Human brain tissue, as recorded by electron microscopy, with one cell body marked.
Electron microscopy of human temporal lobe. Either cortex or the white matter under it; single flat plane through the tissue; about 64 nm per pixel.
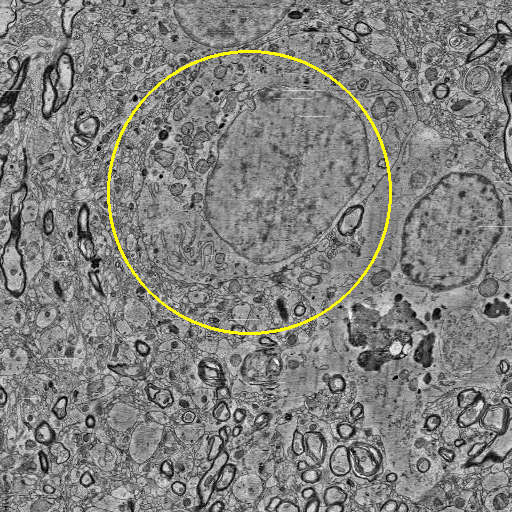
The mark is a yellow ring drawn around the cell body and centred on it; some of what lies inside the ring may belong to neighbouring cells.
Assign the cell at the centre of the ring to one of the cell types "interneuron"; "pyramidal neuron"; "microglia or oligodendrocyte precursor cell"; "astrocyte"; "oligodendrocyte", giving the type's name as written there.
interneuron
